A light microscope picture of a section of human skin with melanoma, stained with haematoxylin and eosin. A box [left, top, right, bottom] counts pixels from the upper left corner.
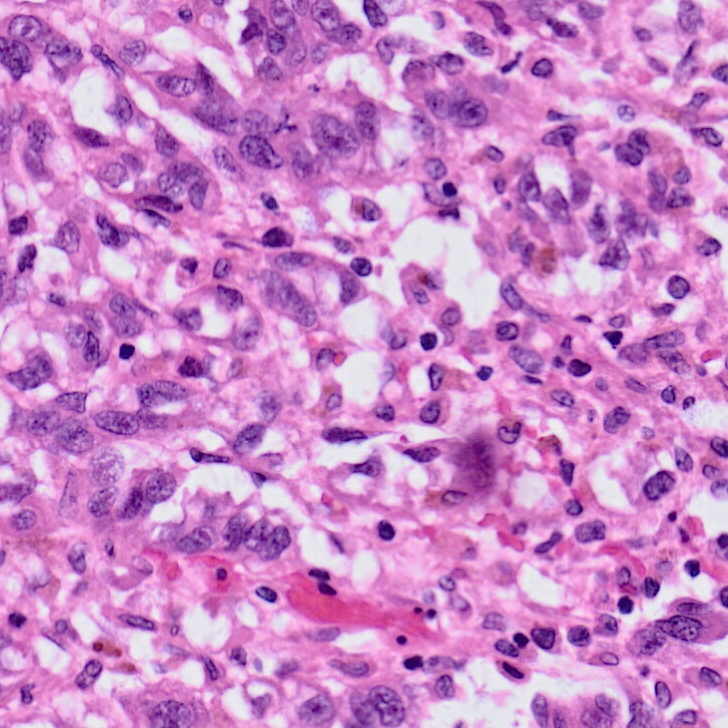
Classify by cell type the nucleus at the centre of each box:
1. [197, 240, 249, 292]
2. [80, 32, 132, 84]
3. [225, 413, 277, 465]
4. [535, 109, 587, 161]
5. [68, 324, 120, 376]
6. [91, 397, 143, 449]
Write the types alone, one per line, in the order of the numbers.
macrophage or monocyte
macrophage or monocyte
melanoma cell
macrophage or monocyte
melanoma cell
melanoma cell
